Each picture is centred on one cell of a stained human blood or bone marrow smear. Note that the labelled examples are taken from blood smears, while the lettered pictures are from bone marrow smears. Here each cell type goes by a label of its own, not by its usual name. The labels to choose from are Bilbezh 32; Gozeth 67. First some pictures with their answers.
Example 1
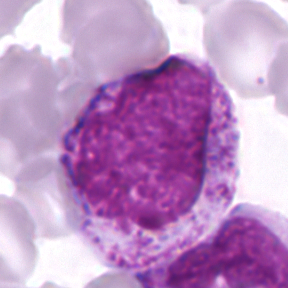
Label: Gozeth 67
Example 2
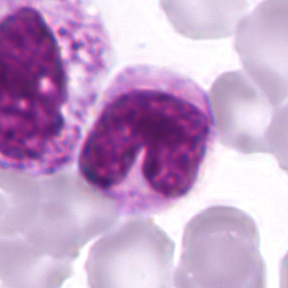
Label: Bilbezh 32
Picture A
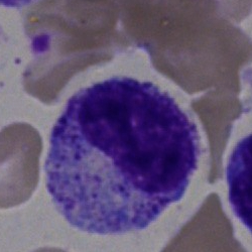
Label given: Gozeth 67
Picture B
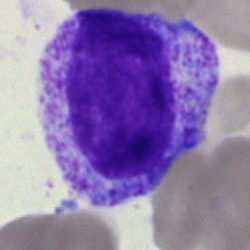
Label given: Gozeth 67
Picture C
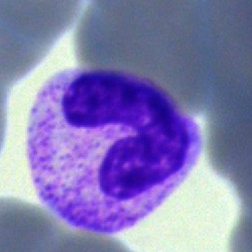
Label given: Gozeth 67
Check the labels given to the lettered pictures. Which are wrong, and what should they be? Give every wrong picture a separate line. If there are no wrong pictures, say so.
C should be Bilbezh 32, not Gozeth 67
